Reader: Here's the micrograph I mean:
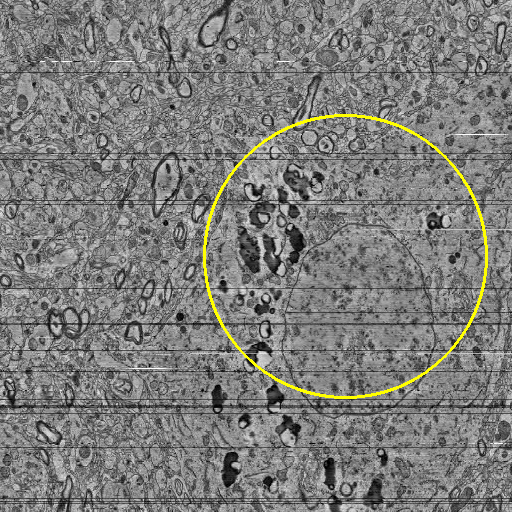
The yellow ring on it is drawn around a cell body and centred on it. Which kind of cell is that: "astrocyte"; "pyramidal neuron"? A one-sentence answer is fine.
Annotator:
The ring is centred on a pyramidal neuron.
